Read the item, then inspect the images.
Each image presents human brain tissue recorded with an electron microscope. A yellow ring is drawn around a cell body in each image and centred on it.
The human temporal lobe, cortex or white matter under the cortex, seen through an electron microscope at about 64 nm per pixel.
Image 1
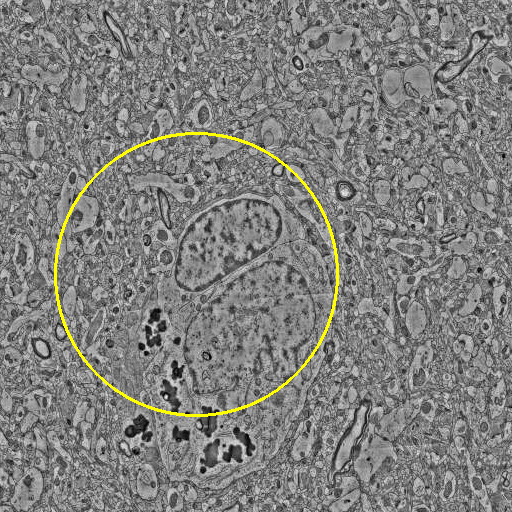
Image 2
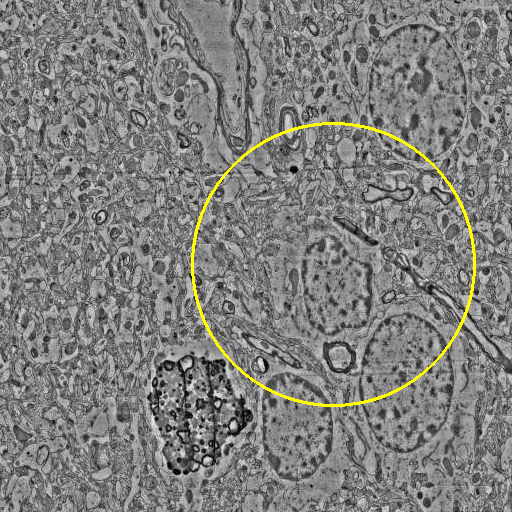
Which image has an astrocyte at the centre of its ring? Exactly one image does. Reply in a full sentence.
The ring in Image 2 is centred on it.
